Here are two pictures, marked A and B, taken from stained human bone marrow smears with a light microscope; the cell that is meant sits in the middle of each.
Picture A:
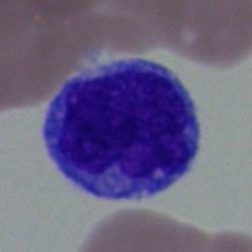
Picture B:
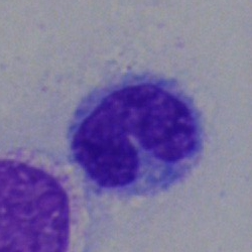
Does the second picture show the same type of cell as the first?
yes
